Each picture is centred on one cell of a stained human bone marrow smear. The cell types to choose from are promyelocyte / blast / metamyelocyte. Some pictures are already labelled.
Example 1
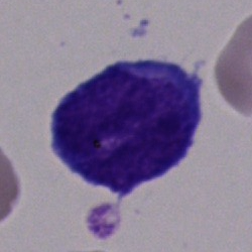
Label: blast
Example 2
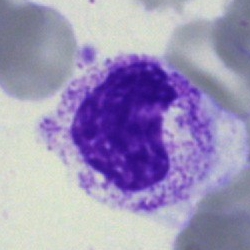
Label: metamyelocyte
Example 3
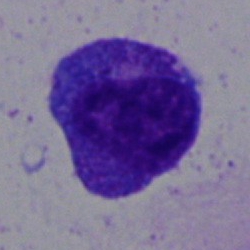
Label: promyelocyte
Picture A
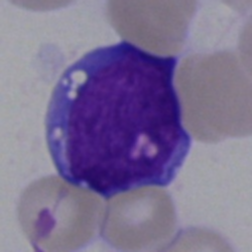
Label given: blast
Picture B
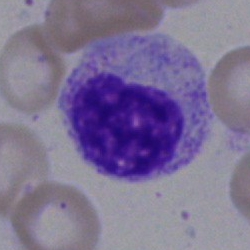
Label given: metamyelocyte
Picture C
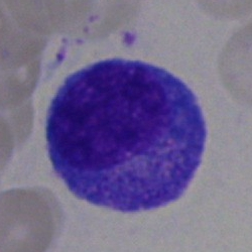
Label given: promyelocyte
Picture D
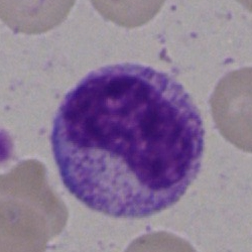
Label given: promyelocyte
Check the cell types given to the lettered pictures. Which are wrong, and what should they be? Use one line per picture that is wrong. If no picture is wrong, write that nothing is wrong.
D: metamyelocyte, not promyelocyte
